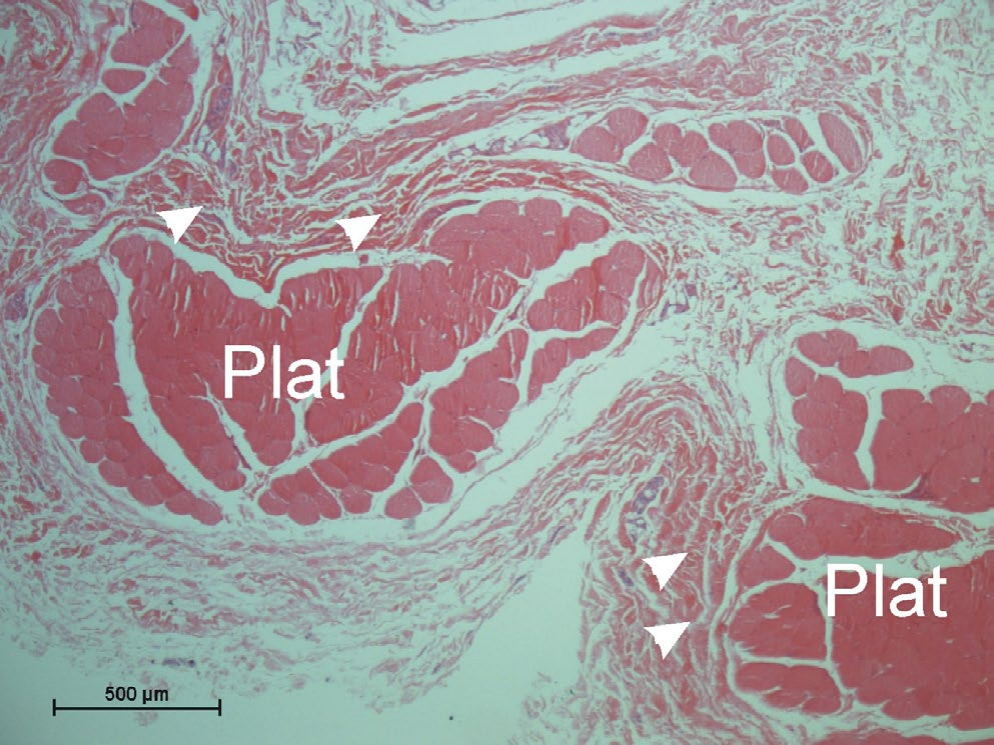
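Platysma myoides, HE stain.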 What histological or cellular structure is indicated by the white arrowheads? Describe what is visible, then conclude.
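Densifications. The arrowheads point to bands of more tightly packed, wavy pink fibrous tissue next to the muscle bundles. Elsewhere the tissue around the bundles is looser and paler.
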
